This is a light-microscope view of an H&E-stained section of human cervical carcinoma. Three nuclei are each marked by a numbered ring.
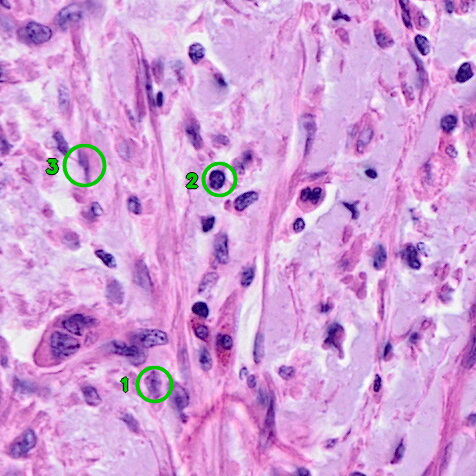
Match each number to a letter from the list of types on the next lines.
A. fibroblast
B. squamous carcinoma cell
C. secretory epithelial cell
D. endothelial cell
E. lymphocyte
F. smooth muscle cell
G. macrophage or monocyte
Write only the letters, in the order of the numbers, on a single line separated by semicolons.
A; E; A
